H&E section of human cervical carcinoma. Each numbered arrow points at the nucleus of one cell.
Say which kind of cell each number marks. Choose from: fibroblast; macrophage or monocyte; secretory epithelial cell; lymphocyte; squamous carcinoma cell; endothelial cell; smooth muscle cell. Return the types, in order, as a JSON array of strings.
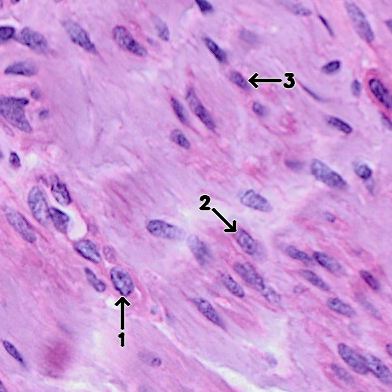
["endothelial cell", "smooth muscle cell", "smooth muscle cell"]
